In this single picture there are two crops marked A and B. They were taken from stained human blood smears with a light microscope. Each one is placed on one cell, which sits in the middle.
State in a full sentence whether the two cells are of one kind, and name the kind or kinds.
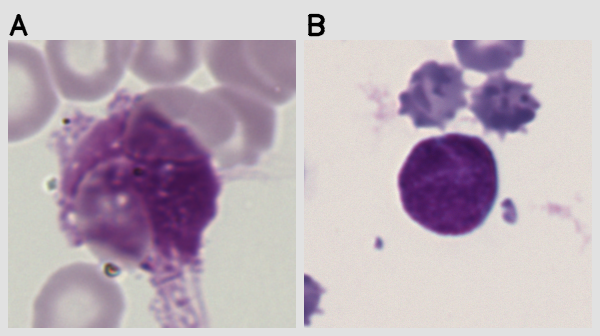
No, crop A is the one with a smudge cell; crop B has a myeloblast.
